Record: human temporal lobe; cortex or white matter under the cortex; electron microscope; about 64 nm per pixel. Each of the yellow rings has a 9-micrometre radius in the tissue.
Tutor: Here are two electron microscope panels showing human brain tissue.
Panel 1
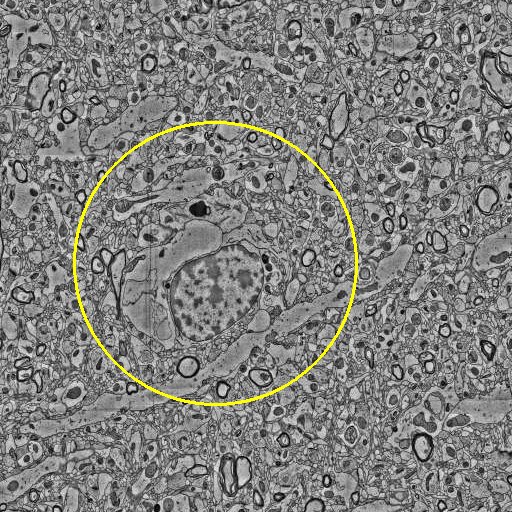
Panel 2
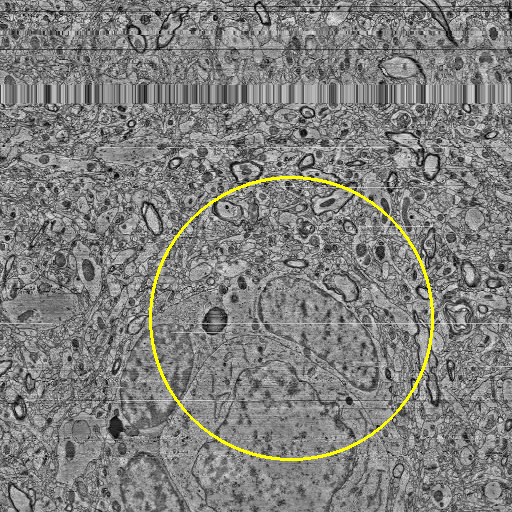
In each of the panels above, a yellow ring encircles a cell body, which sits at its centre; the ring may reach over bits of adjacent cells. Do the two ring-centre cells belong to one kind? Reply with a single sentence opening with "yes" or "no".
Yes, the two cells sitting at the ring centres in the panels belong to one kind.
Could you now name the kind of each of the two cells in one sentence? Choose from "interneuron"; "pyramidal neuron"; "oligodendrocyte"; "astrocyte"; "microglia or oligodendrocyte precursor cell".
Both cells are the same kind, each one being a microglial cell or oligodendrocyte precursor cell.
